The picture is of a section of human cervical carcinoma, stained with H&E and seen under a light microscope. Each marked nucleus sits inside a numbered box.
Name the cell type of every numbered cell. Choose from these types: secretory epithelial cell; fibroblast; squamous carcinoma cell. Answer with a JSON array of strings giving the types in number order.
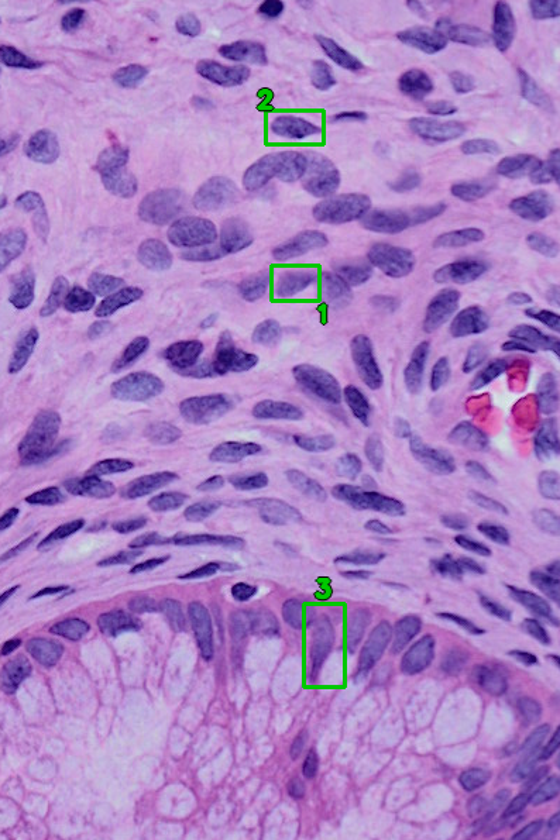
["fibroblast", "fibroblast", "secretory epithelial cell"]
